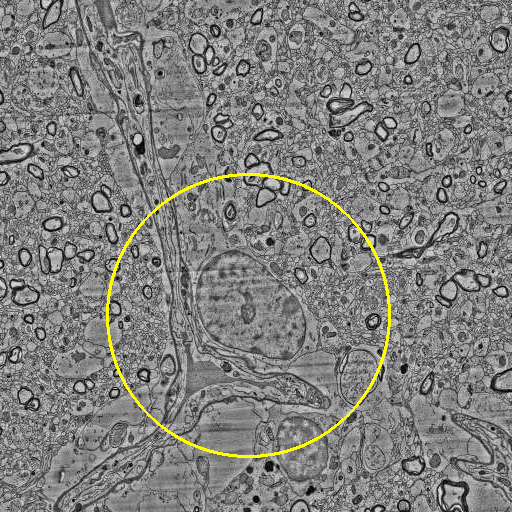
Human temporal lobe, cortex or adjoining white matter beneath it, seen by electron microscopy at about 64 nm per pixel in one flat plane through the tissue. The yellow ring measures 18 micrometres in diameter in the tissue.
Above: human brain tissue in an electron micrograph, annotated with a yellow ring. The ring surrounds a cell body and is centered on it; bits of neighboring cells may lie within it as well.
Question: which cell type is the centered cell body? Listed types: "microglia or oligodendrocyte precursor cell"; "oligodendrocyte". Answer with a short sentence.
The centered cell body is a microglial cell or oligodendrocyte precursor cell.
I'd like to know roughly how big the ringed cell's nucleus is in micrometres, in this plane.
About 8 by 6 micrometres in this plane.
